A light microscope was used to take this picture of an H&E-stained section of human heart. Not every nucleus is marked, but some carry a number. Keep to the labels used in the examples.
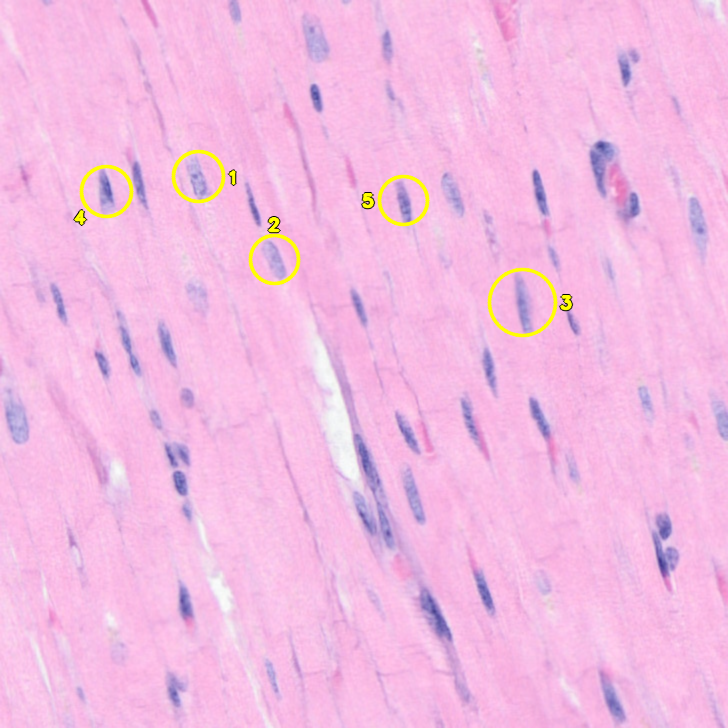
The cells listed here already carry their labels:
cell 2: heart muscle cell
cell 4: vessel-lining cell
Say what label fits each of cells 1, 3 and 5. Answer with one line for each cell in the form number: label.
1: heart muscle cell
3: heart muscle cell
5: vessel-lining cell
